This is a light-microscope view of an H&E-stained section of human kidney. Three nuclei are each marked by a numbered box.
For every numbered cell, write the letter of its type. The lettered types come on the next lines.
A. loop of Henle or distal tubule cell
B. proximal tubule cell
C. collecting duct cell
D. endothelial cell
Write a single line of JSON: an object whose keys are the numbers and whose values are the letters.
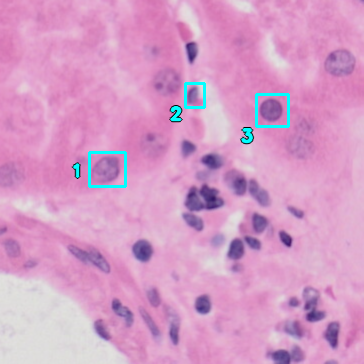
{"1": "B", "2": "D", "3": "B"}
